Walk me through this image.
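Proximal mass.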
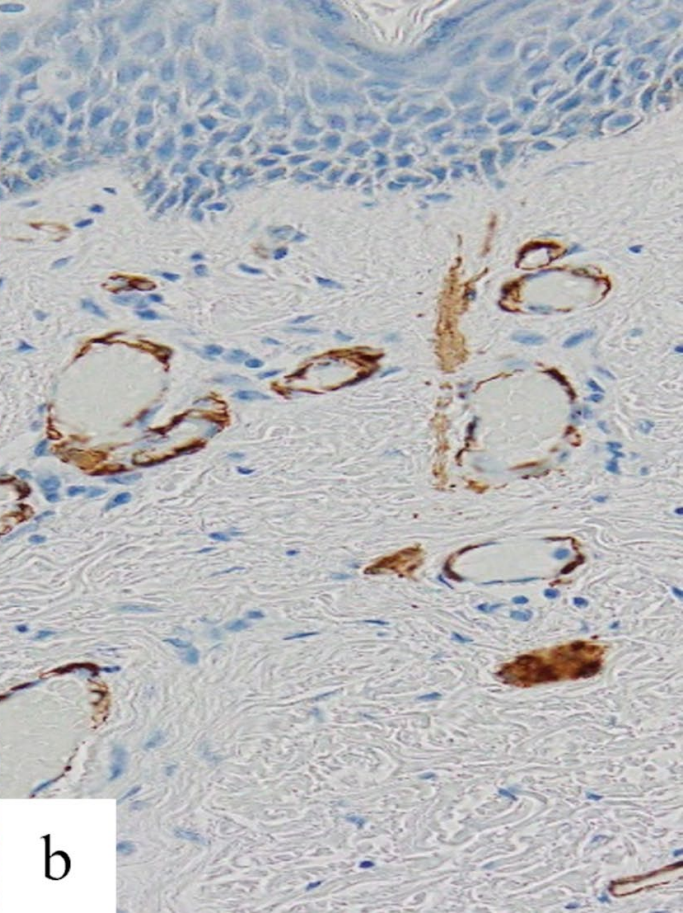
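This is the upper dermis just beneath the epidermis, at high magnification. The top of the field is filled by the lower layers of the stratified epidermis, whose cells have blue nuclei. Below it lies connective tissue with wavy fibres and scattered small blue nuclei. Several rounded channels are ringed by brown-stained walls. A few solid brown bundles and thin brown strands also lie in the dermis.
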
